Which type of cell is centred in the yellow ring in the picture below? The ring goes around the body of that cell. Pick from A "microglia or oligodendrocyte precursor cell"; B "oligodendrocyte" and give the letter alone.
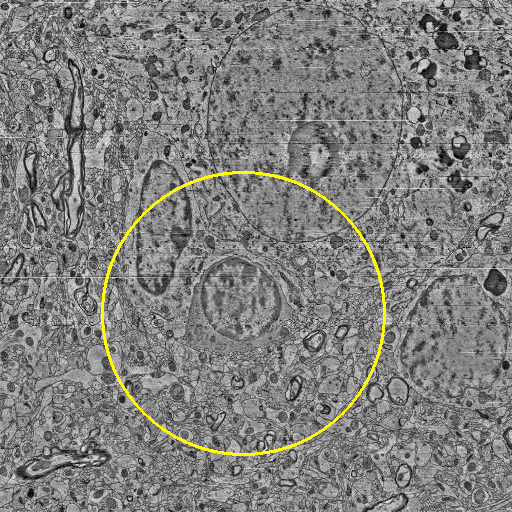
B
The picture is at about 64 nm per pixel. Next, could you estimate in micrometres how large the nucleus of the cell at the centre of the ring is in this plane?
The nucleus comes to roughly 5 micrometres across in this plane.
